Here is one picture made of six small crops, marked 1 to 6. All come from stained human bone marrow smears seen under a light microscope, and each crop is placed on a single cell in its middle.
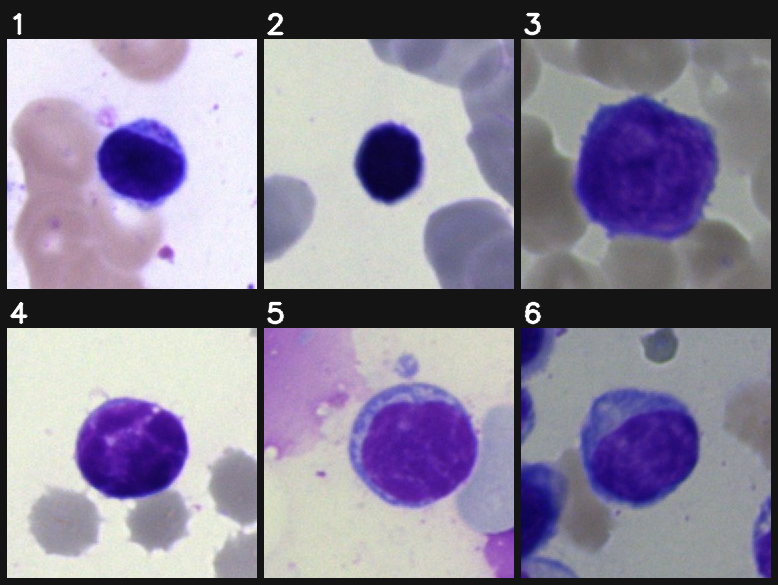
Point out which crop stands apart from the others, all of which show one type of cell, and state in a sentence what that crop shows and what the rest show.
What sets crop 3 apart is that it shows a blast, while the others show lymphocytes.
